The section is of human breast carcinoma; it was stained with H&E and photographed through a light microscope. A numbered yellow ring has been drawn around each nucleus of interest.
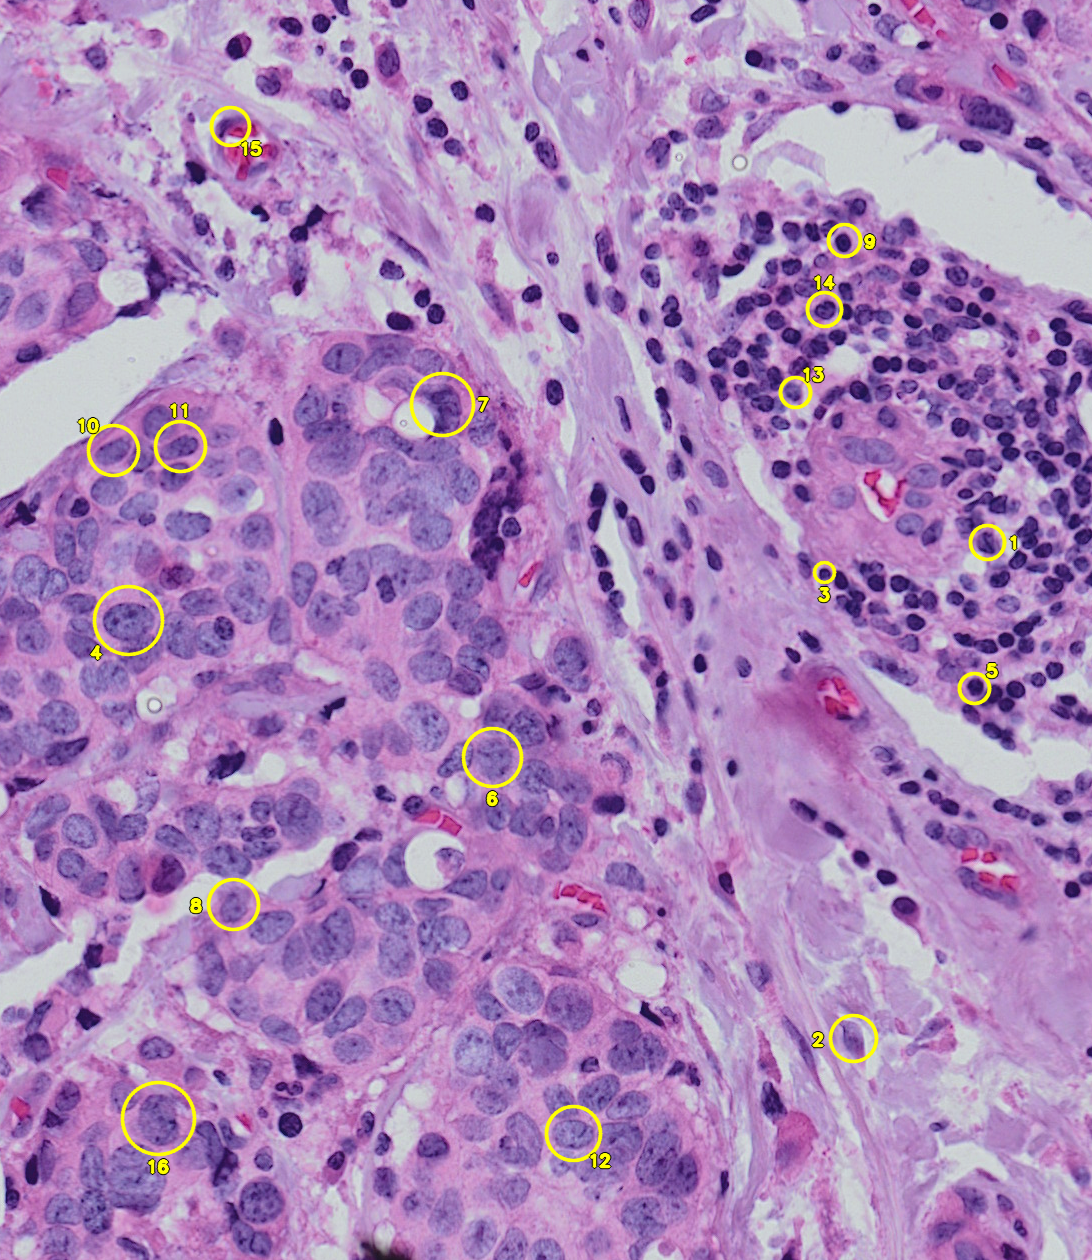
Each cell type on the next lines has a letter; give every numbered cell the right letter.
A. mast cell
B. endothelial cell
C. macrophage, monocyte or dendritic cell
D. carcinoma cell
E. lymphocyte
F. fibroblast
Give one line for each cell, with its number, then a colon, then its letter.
1: E
2: F
3: E
4: D
5: E
6: D
7: D
8: D
9: E
10: D
11: D
12: D
13: E
14: E
15: B
16: D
